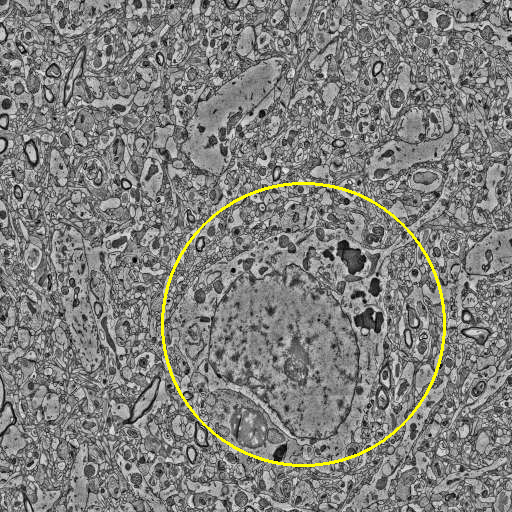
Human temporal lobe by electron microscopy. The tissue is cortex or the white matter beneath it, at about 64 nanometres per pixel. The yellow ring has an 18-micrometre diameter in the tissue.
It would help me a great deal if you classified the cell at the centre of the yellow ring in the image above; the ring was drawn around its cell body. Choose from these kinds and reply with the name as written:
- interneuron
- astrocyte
interneuron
